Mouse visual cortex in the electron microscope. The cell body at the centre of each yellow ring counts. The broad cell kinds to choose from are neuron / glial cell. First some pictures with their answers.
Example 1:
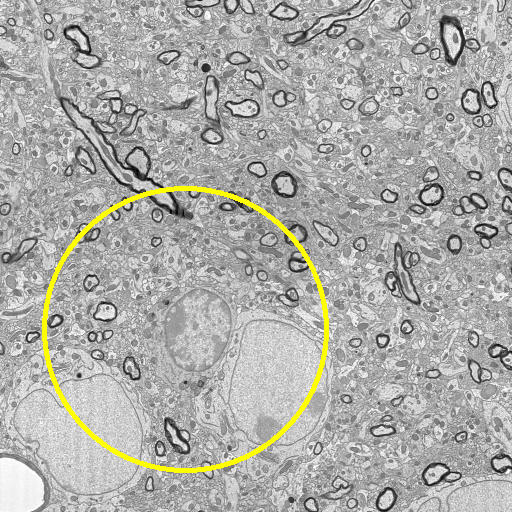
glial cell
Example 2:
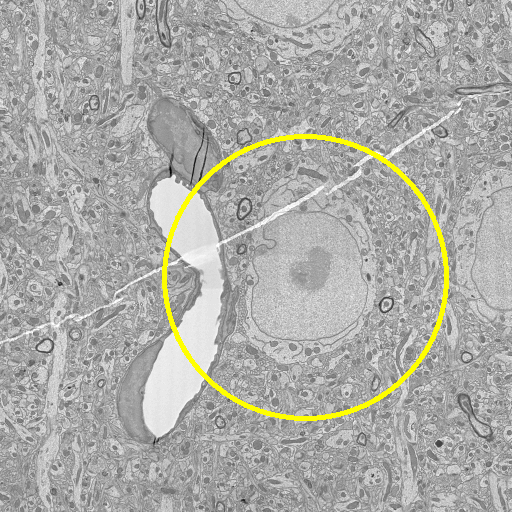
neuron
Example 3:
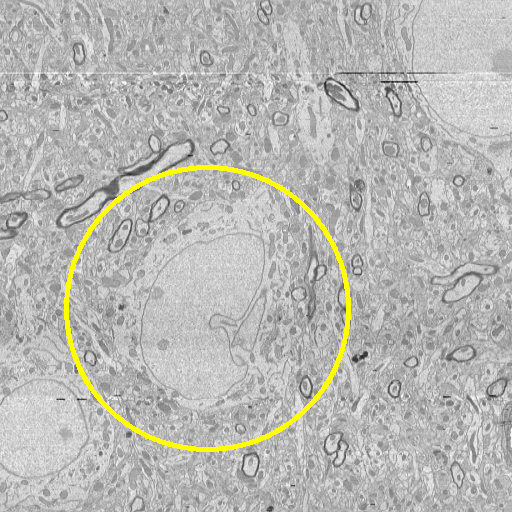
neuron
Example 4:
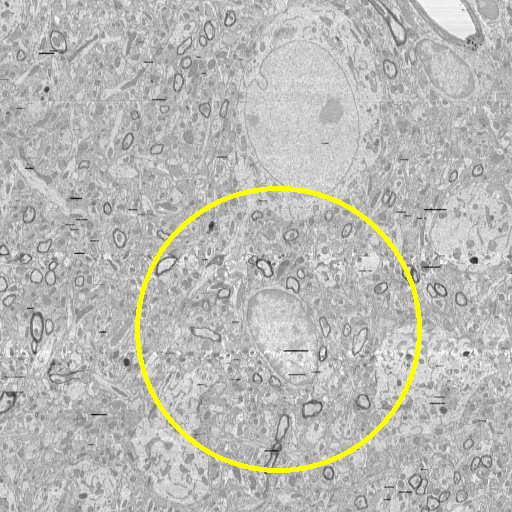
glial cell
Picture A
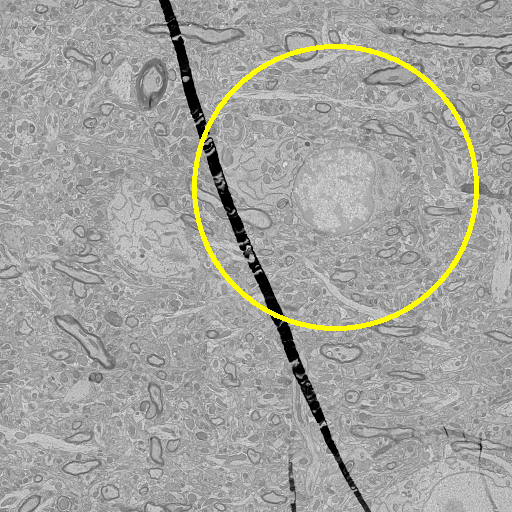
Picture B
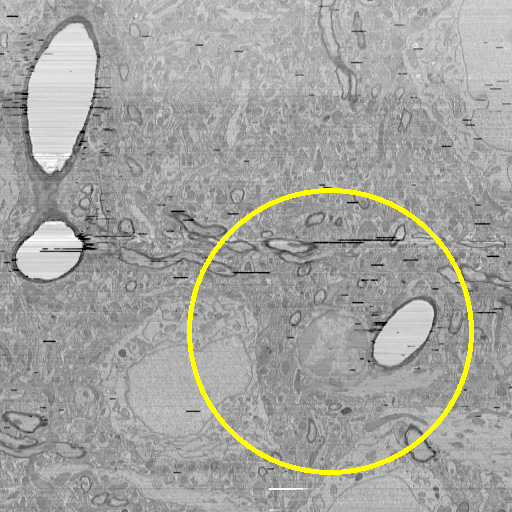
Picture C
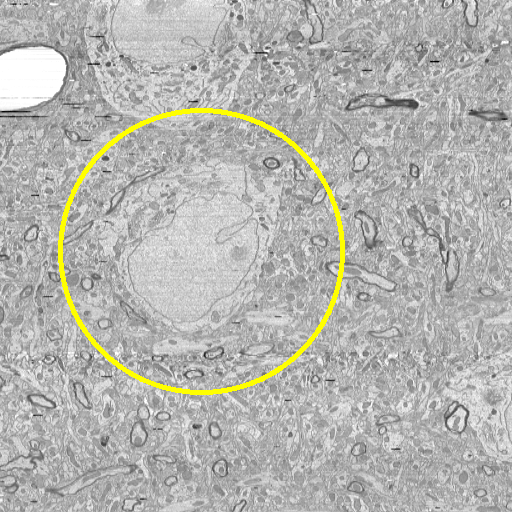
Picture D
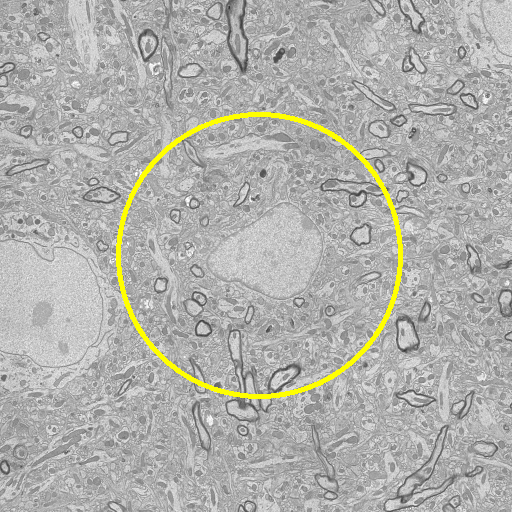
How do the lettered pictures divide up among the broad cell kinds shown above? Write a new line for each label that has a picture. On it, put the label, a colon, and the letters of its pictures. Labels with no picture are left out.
neuron: C
glial cell: A, B, D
